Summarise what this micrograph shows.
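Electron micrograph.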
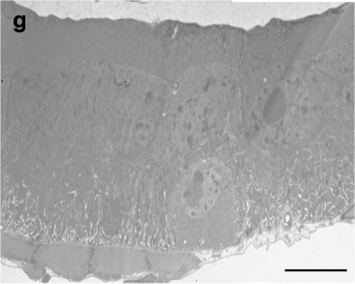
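One large oval nucleus with a distinct nucleolus is visible within a cell in the middle of the field. The cytoplasm is fairly uniform and grey, with scattered darker rounded granules. Along the lower edge of the cell layer runs a finely striated zone, below which lies a thin darker band. The tissue appears regular, without enclosed spaces or crowding.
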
